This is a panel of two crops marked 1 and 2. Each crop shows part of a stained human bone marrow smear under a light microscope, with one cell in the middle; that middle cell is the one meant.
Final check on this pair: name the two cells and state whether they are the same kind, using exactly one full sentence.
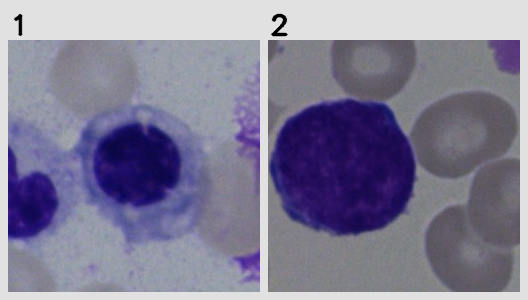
No, crop 1 carries an erythroblast and crop 2 carries a blast.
